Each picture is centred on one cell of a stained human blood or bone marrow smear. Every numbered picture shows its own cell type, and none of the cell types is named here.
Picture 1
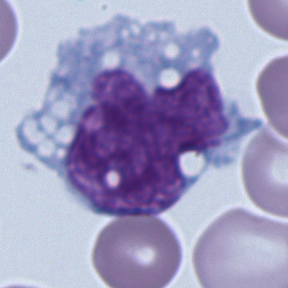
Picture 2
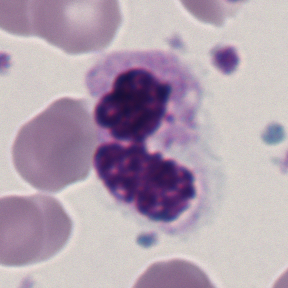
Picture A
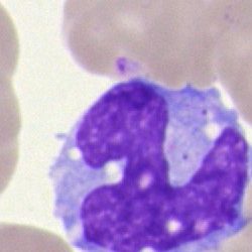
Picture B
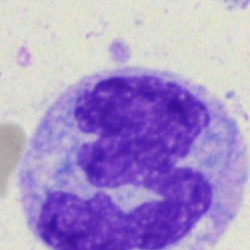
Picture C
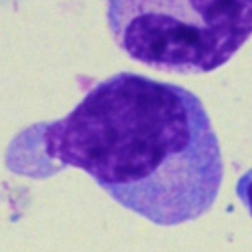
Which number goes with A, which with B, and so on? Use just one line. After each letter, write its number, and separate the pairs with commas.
A 1, B 1, C 1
